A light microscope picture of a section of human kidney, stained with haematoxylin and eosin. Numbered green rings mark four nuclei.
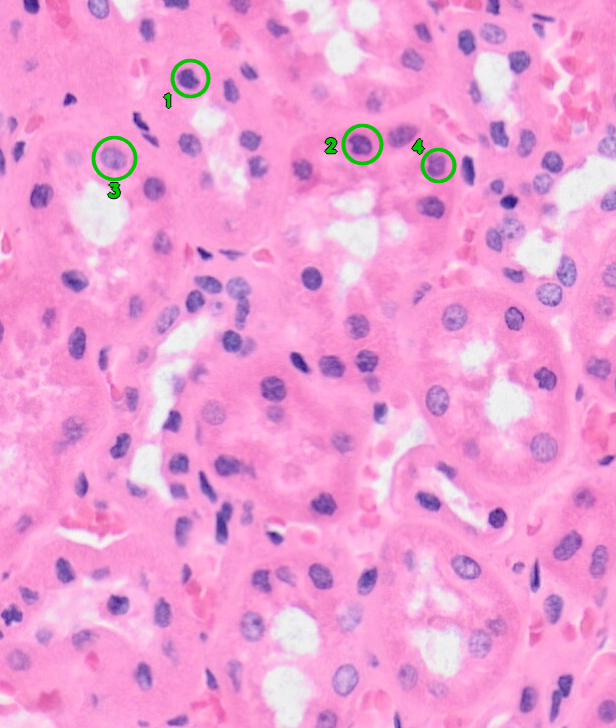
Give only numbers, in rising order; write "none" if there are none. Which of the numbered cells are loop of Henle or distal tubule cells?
1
